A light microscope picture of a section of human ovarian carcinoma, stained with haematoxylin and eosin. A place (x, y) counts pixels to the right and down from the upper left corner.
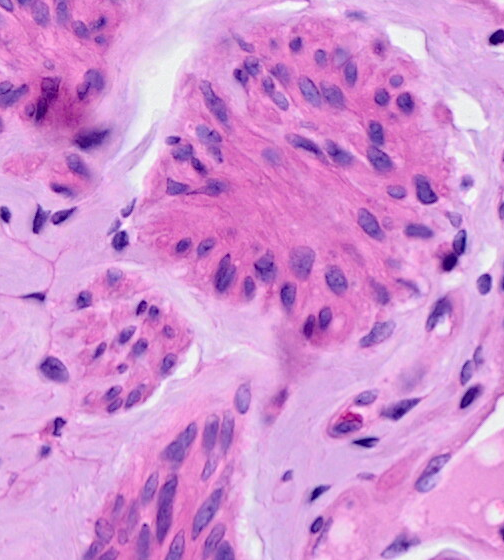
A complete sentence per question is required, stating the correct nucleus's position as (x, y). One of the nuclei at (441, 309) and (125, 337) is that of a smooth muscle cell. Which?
The nucleus located at (125, 337) is the one held within a smooth muscle cell.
